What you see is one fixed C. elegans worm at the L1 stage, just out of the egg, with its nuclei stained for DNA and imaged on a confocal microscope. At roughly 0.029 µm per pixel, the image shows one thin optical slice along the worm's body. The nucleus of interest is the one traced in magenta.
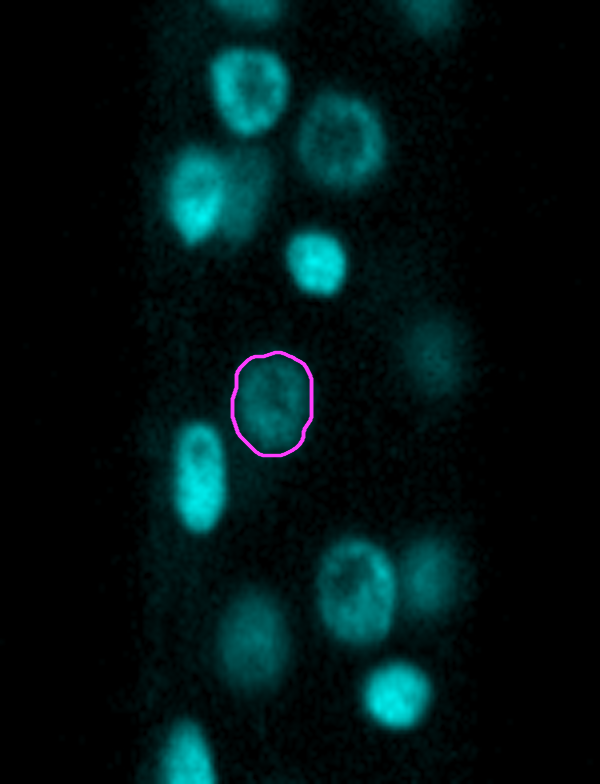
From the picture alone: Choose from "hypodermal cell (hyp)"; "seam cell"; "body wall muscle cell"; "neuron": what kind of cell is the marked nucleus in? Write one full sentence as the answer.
This nucleus is from a seam cell.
